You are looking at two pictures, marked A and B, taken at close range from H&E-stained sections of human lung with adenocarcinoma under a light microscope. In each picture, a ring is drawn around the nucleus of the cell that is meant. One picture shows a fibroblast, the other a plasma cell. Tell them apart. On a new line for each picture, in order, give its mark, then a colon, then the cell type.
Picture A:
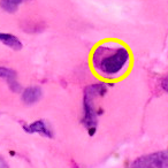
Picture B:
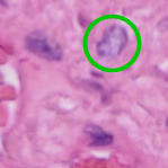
A: plasma cell
B: fibroblast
